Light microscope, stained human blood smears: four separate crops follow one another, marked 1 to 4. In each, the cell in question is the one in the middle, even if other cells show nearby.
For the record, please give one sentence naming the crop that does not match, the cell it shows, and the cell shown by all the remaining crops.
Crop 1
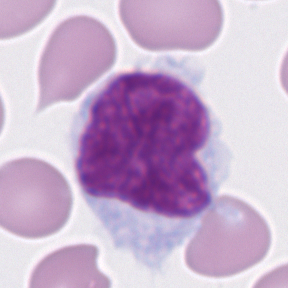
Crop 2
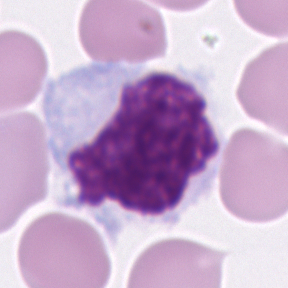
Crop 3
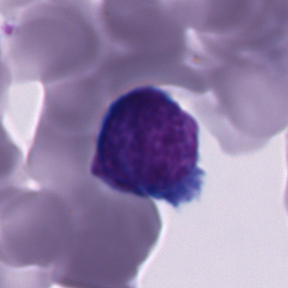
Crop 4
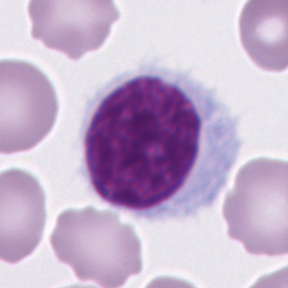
Crop 3 is the sole crop with a typical lymphocyte; the others all have hairy cells.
